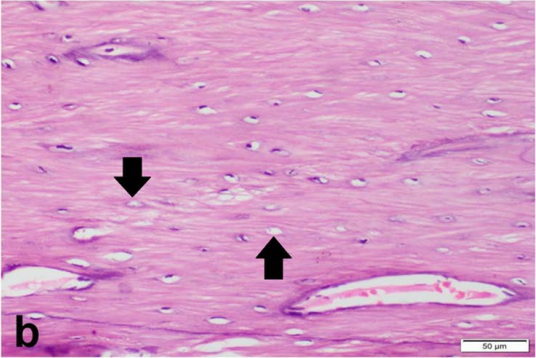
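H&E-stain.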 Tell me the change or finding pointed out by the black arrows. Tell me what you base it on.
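The arrows point to small clear spaces in the pink matrix. Many such spaces in the field hold no visible nucleus.
Empty lacunae.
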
